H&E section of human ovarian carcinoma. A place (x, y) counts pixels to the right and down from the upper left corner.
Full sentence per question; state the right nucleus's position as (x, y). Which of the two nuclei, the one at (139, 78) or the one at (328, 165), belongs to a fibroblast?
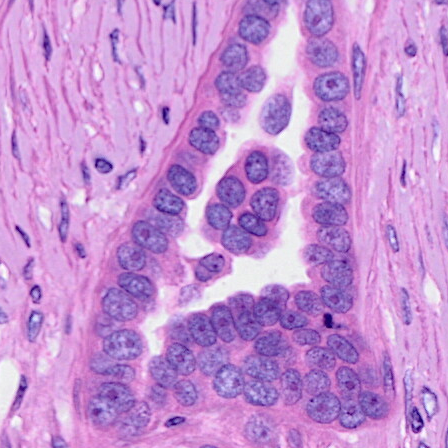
Of the two options, the nucleus at (139, 78) is the one that belongs to a fibroblast.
